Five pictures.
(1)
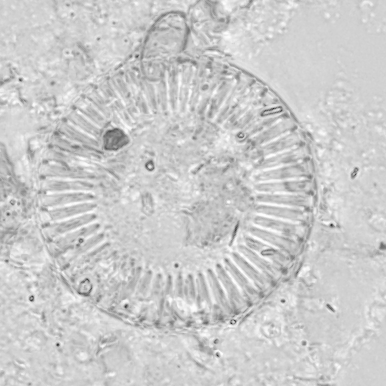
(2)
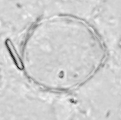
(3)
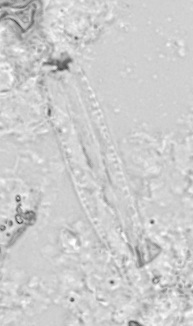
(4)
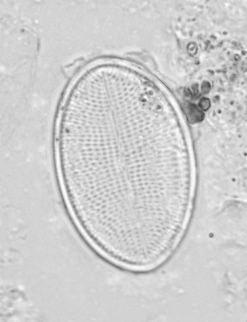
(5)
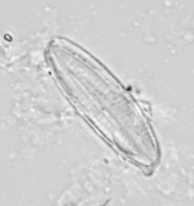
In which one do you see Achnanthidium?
In picture 5.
